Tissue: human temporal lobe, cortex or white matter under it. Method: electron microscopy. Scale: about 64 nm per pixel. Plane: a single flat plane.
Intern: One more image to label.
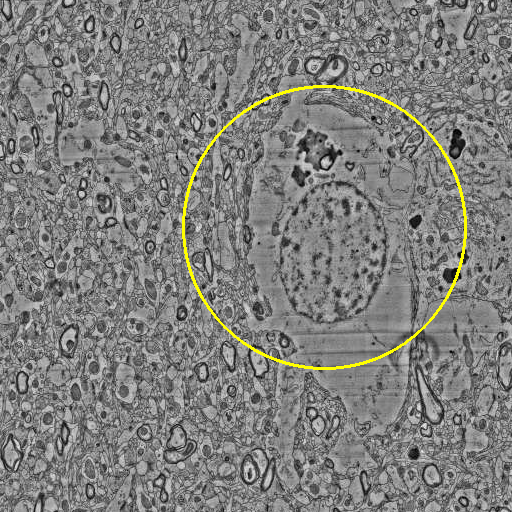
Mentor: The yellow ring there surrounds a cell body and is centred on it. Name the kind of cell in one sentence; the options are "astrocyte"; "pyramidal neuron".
The ring marks the cell body of an astrocyte.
